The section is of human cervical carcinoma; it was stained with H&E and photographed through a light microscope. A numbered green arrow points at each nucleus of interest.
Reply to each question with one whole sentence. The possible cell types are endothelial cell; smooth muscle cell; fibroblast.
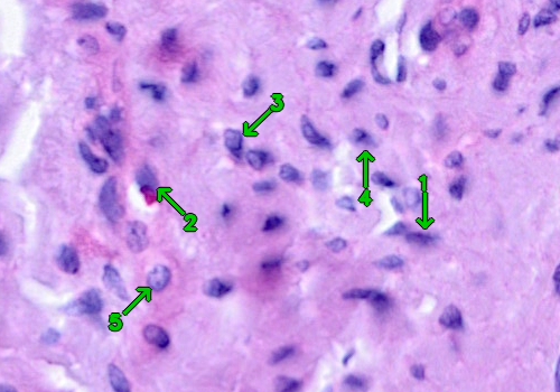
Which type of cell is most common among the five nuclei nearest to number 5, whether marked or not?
Fibroblasts account for more than half of the five nuclei nearest to number 5.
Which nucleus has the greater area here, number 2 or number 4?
It is nucleus 2, which covers about 1.5 times the area of nucleus 4.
